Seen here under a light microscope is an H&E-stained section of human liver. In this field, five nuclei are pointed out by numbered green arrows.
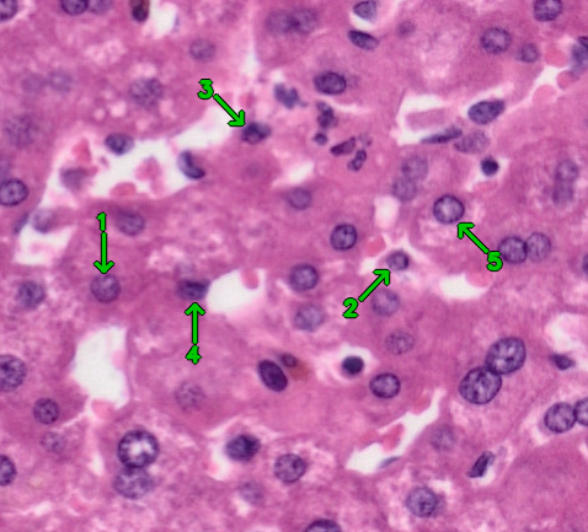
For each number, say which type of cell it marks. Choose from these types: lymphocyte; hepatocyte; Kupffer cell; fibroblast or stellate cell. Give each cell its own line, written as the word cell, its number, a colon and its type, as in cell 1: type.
cell 1: hepatocyte
cell 2: Kupffer cell
cell 3: fibroblast or stellate cell
cell 4: fibroblast or stellate cell
cell 5: hepatocyte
